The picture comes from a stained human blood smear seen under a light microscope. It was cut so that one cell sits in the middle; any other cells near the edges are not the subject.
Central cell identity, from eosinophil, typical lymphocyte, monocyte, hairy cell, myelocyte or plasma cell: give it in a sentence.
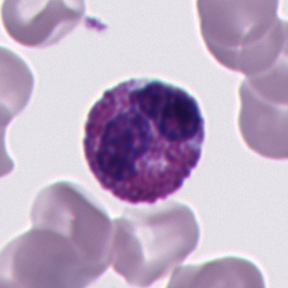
The cell found in the middle of this crop is an eosinophil.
